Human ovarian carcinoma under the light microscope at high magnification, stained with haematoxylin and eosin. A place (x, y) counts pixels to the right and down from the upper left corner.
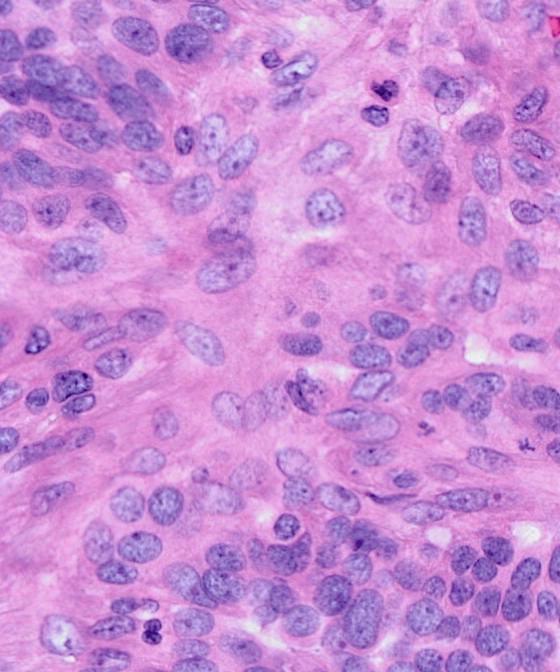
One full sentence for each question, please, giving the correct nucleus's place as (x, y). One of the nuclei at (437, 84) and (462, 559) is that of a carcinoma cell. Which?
Which one belongs to a carcinoma cell? The nucleus at (462, 559) does.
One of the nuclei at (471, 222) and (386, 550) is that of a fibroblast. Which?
Of the two nuclei, it is the one at (471, 222) that lies within a fibroblast.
